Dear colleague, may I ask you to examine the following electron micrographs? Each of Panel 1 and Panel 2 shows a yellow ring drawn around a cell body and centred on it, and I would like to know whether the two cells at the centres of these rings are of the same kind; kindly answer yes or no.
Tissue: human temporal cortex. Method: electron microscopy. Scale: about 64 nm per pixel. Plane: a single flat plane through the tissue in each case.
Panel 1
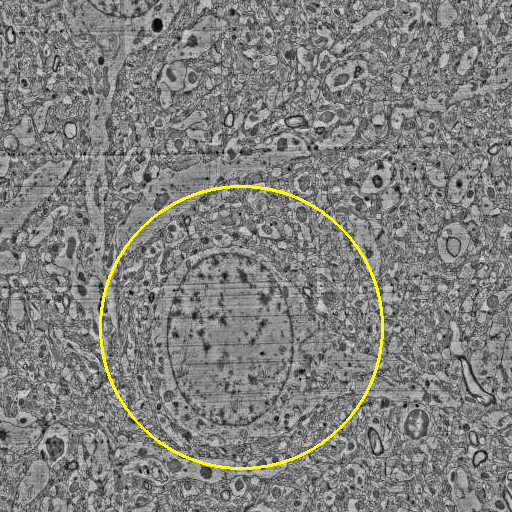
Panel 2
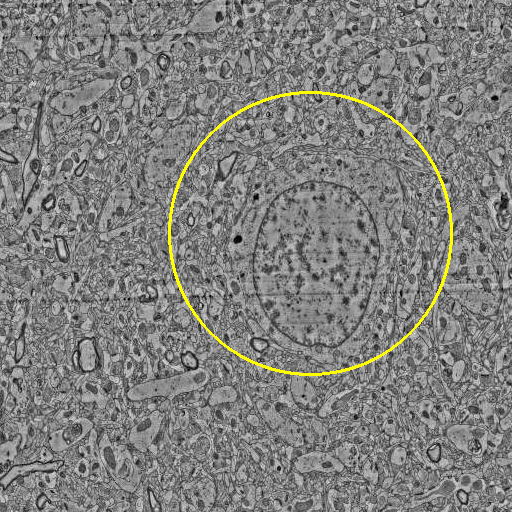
yes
